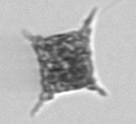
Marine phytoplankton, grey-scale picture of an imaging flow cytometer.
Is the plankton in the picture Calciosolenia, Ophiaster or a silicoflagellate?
It is a silicoflagellate.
